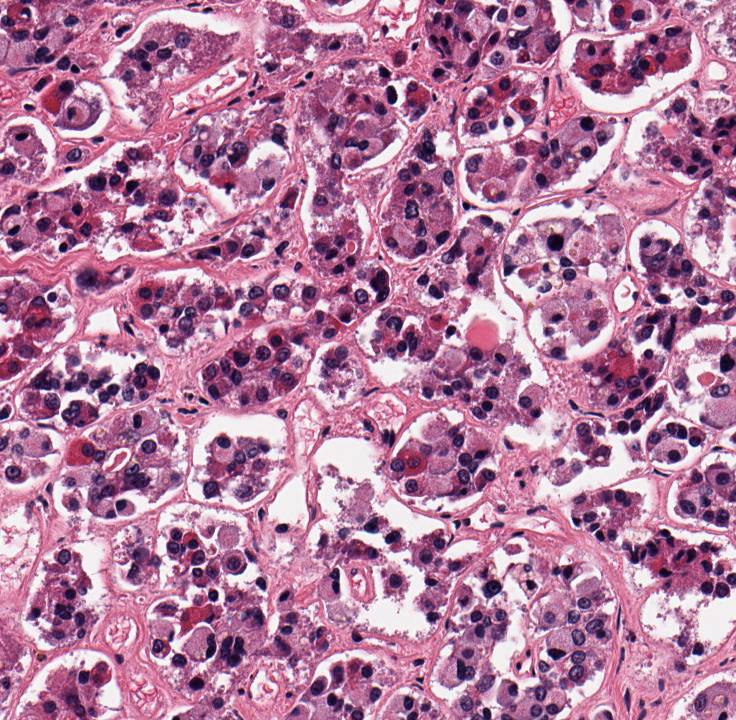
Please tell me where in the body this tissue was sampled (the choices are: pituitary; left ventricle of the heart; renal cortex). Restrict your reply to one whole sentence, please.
It was from the pituitary that this tissue was sampled.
